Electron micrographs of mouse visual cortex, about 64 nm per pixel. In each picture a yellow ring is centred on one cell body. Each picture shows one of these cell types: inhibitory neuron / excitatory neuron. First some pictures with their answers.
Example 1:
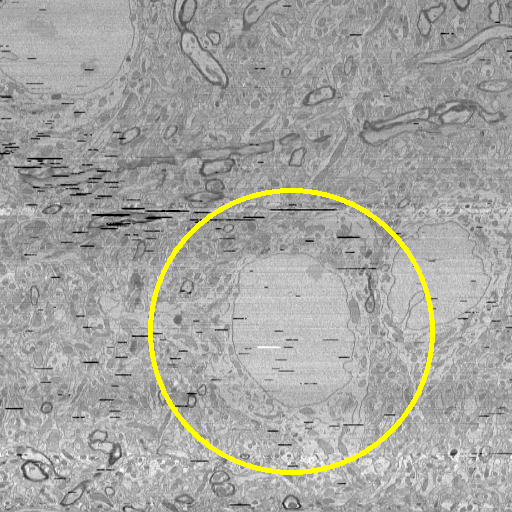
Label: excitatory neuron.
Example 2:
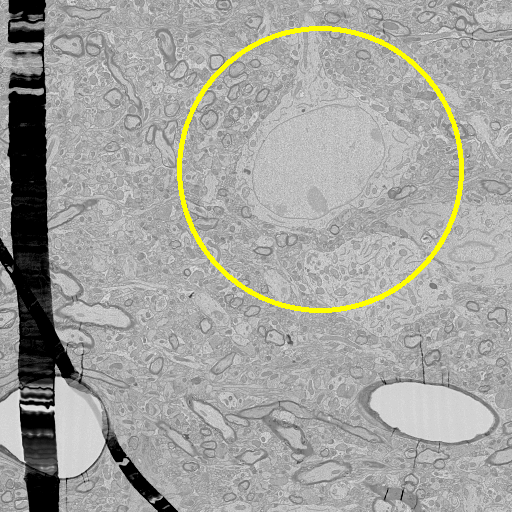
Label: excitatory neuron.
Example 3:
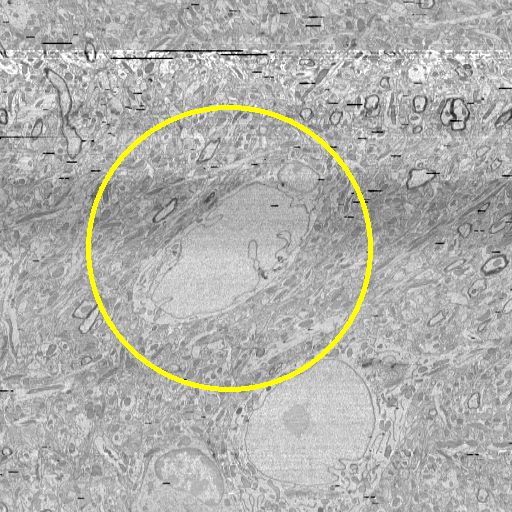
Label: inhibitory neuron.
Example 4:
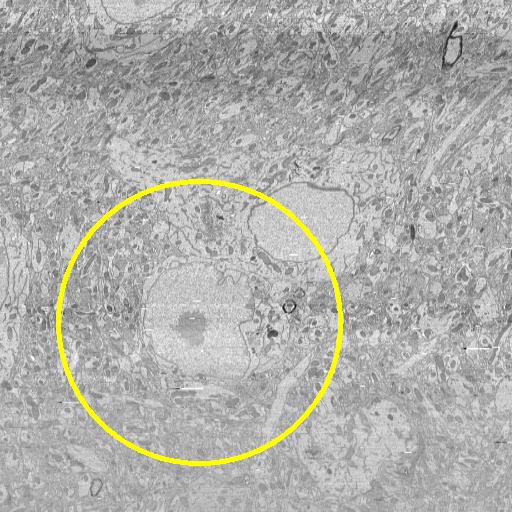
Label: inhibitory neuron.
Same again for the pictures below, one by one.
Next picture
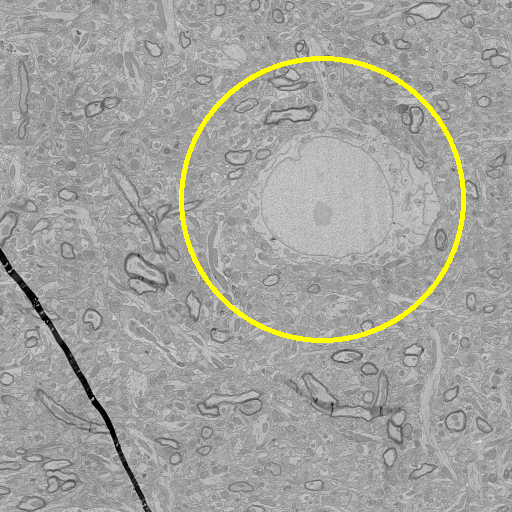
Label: excitatory neuron.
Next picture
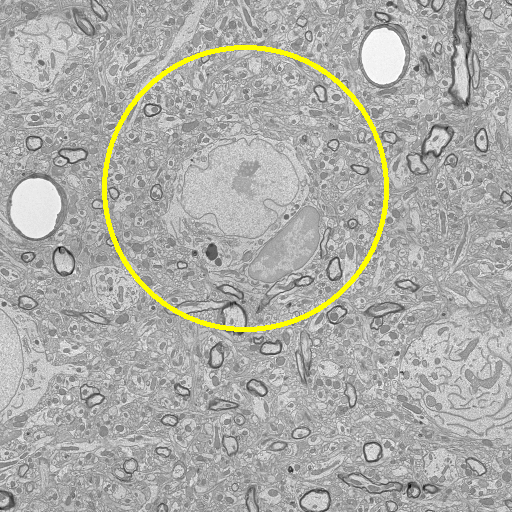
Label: inhibitory neuron.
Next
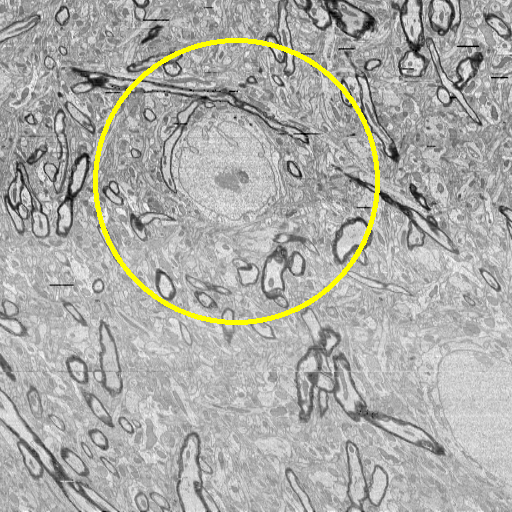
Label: inhibitory neuron.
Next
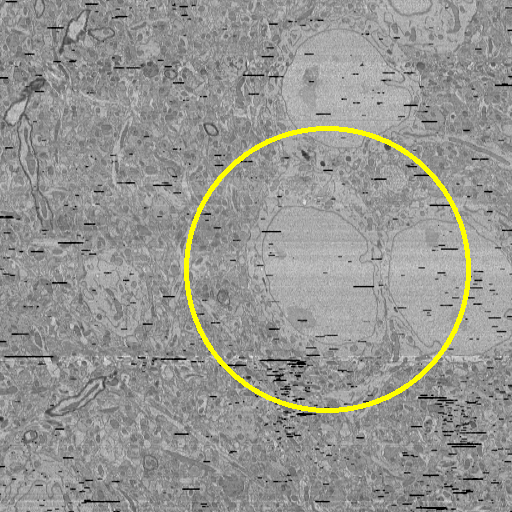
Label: excitatory neuron.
